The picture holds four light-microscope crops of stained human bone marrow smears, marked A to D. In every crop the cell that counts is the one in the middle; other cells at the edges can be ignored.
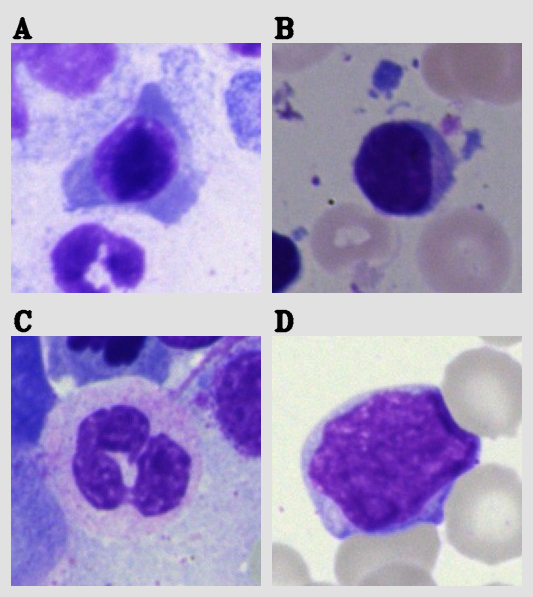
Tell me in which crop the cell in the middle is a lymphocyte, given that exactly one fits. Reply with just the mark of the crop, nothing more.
B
